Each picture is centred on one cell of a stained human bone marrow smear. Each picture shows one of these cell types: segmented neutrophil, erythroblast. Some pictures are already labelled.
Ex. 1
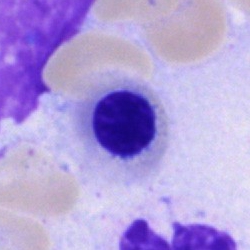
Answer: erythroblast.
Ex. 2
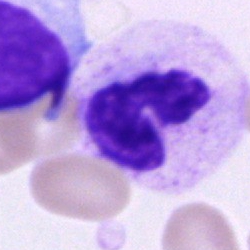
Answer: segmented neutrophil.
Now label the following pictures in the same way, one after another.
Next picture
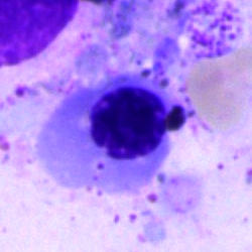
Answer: erythroblast.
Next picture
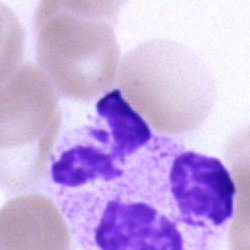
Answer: segmented neutrophil.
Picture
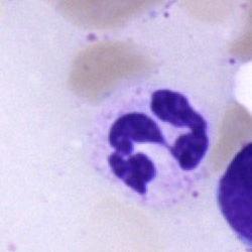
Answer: segmented neutrophil.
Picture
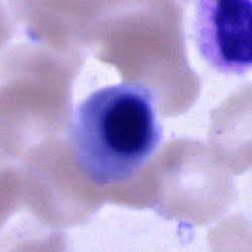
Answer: erythroblast.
